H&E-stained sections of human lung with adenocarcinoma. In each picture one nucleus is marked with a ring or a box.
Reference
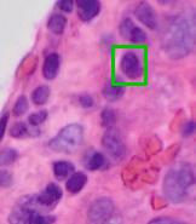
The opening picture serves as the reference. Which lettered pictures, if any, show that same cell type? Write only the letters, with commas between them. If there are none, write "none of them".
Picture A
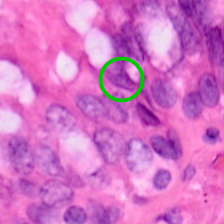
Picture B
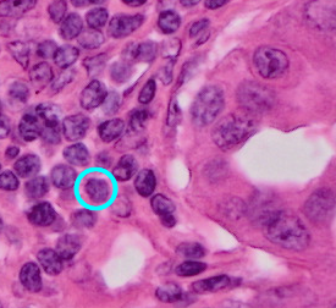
B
